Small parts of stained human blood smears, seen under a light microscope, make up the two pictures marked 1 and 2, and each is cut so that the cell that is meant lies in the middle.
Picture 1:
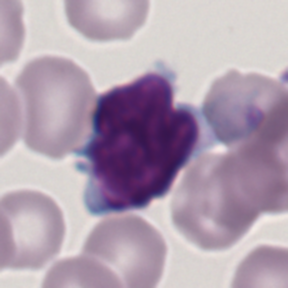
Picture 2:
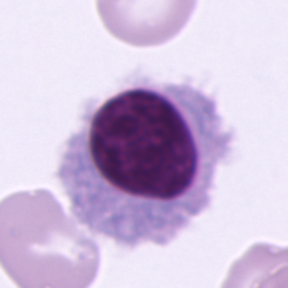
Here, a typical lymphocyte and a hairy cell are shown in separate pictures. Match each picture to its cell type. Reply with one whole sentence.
The cell in picture 1 is a typical lymphocyte, and the one in picture 2 is a hairy cell.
